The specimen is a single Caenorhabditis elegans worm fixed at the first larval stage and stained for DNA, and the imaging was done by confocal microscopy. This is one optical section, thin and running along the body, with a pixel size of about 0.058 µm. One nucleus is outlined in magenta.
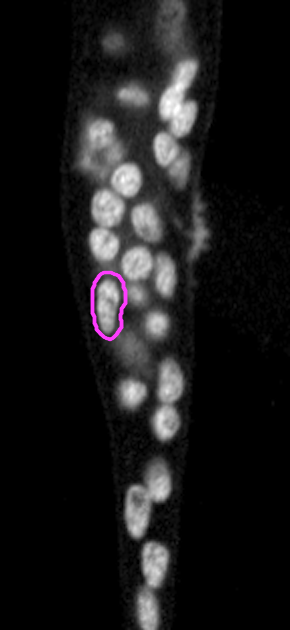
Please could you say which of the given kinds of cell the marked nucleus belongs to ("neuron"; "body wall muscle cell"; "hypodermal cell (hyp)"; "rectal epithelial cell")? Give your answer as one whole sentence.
It belongs to a body wall muscle cell.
